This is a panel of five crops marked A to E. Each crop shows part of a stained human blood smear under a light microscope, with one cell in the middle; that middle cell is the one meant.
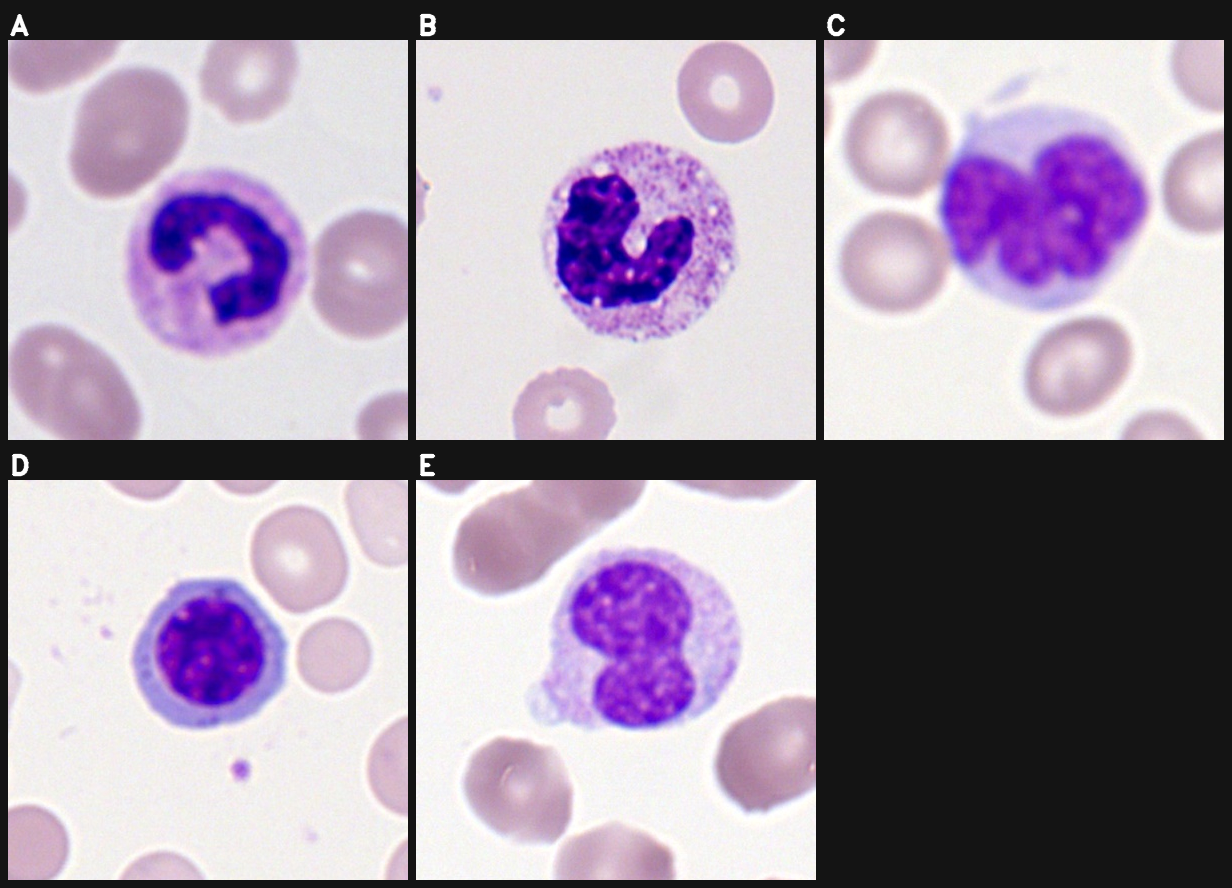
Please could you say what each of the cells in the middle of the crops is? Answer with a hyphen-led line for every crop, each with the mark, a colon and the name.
- A: band neutrophil
- B: band neutrophil
- C: monocyte
- D: erythroblast
- E: monocyte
